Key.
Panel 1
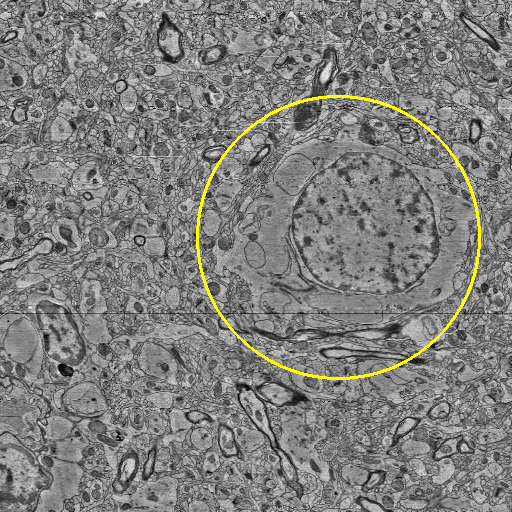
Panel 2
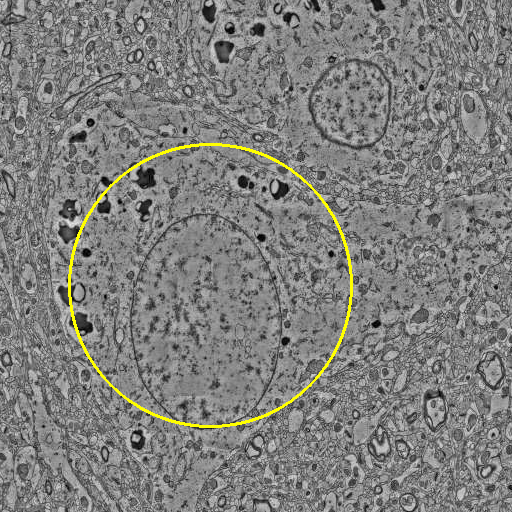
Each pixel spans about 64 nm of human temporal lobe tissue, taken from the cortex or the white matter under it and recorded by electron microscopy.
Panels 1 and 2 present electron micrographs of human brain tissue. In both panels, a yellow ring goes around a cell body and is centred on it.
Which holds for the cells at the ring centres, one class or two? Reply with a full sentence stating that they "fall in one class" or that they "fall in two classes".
Taken together, the ring-centre cells of the two panels fall in two classes.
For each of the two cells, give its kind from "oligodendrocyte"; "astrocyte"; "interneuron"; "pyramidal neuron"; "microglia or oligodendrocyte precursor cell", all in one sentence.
The first picture has an astrocyte in its ring, the second has a pyramidal neuron.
